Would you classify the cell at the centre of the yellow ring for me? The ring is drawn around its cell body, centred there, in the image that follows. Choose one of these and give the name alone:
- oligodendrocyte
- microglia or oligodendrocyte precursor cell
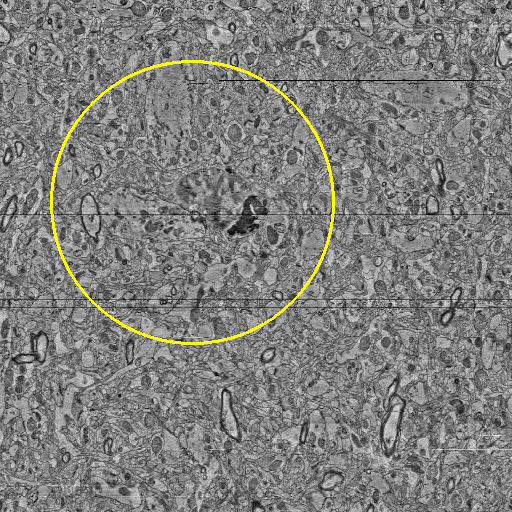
oligodendrocyte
